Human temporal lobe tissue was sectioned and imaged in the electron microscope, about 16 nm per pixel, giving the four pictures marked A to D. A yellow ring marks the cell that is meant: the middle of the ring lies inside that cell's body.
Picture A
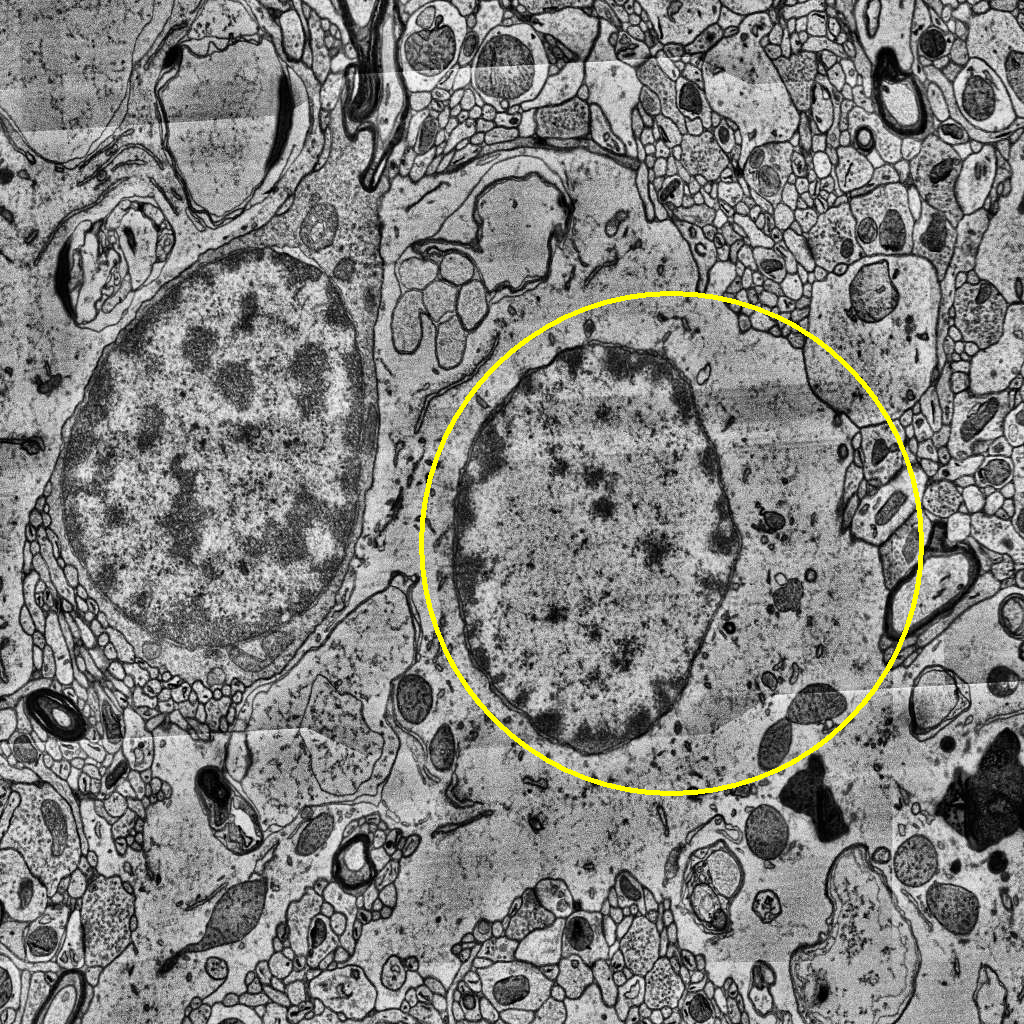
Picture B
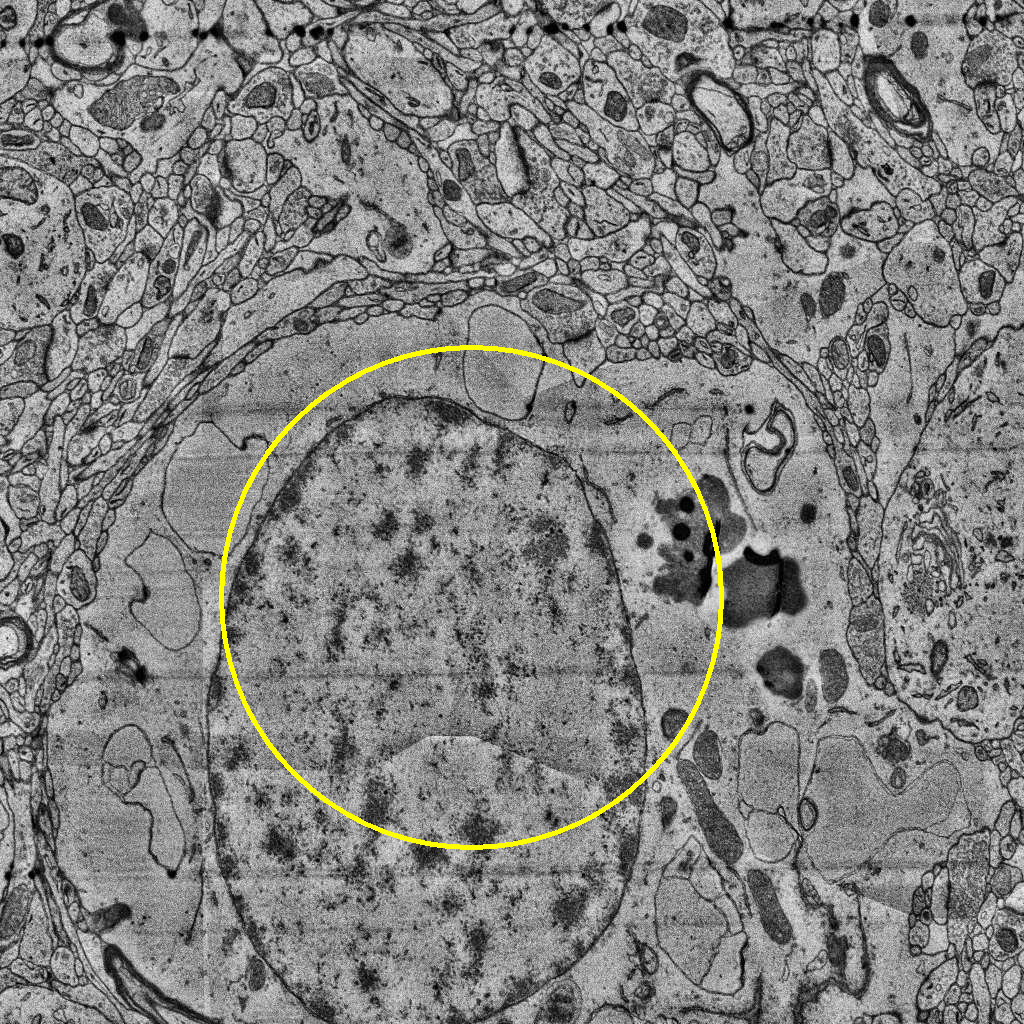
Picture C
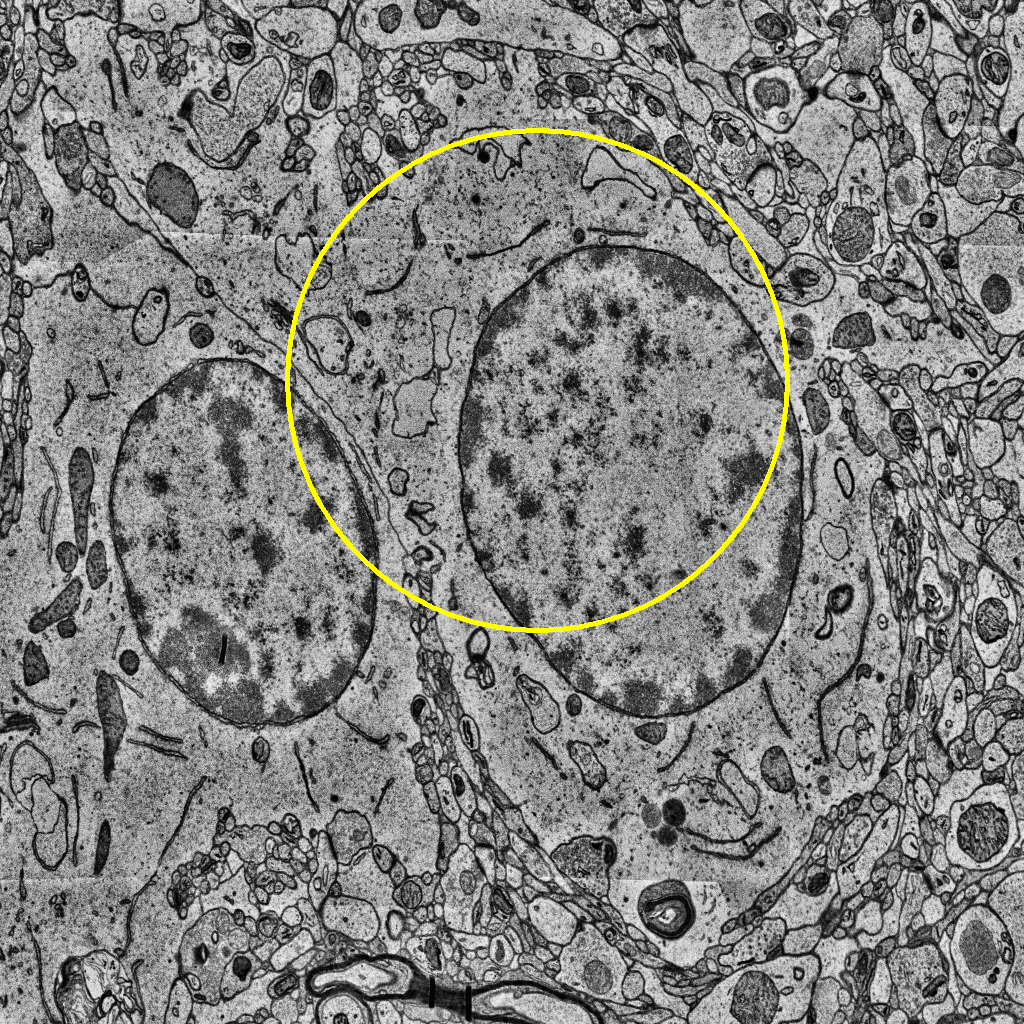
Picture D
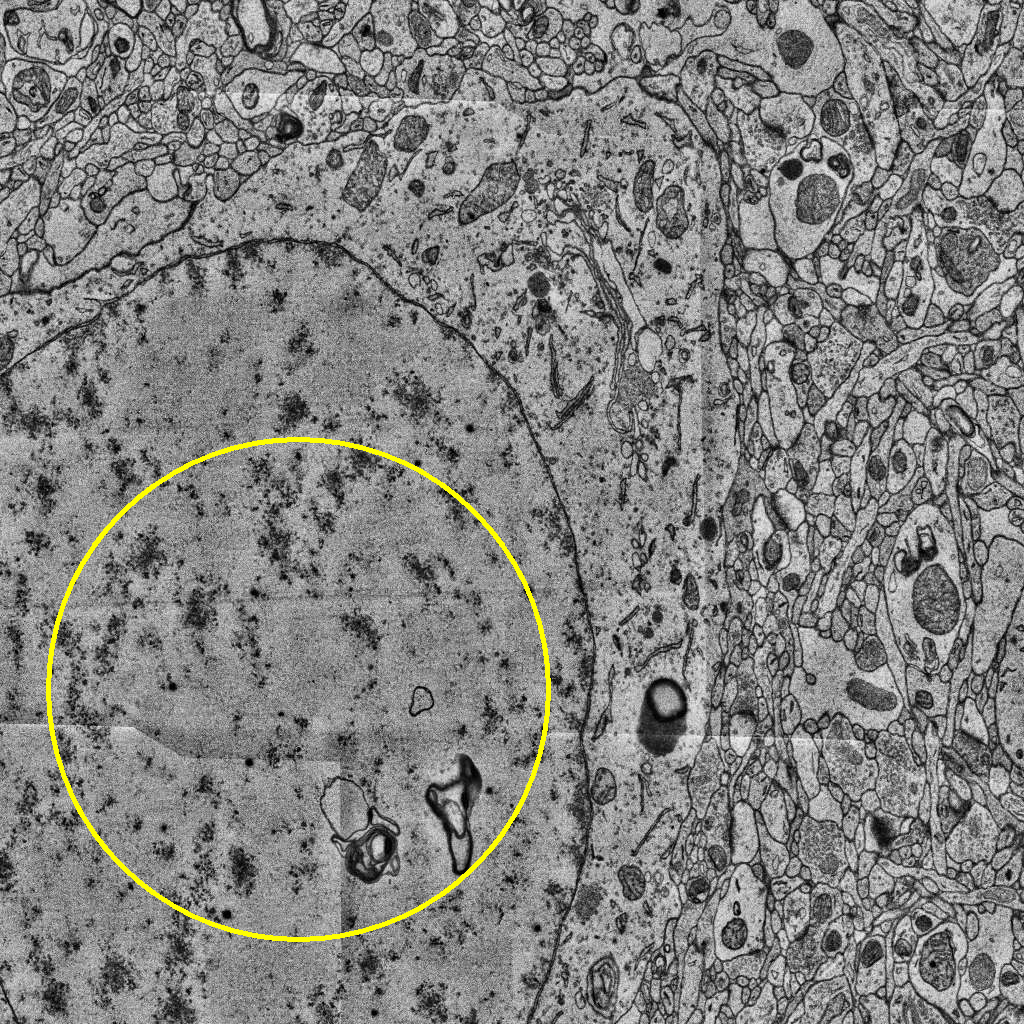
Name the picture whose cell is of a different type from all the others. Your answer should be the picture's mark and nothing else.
D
